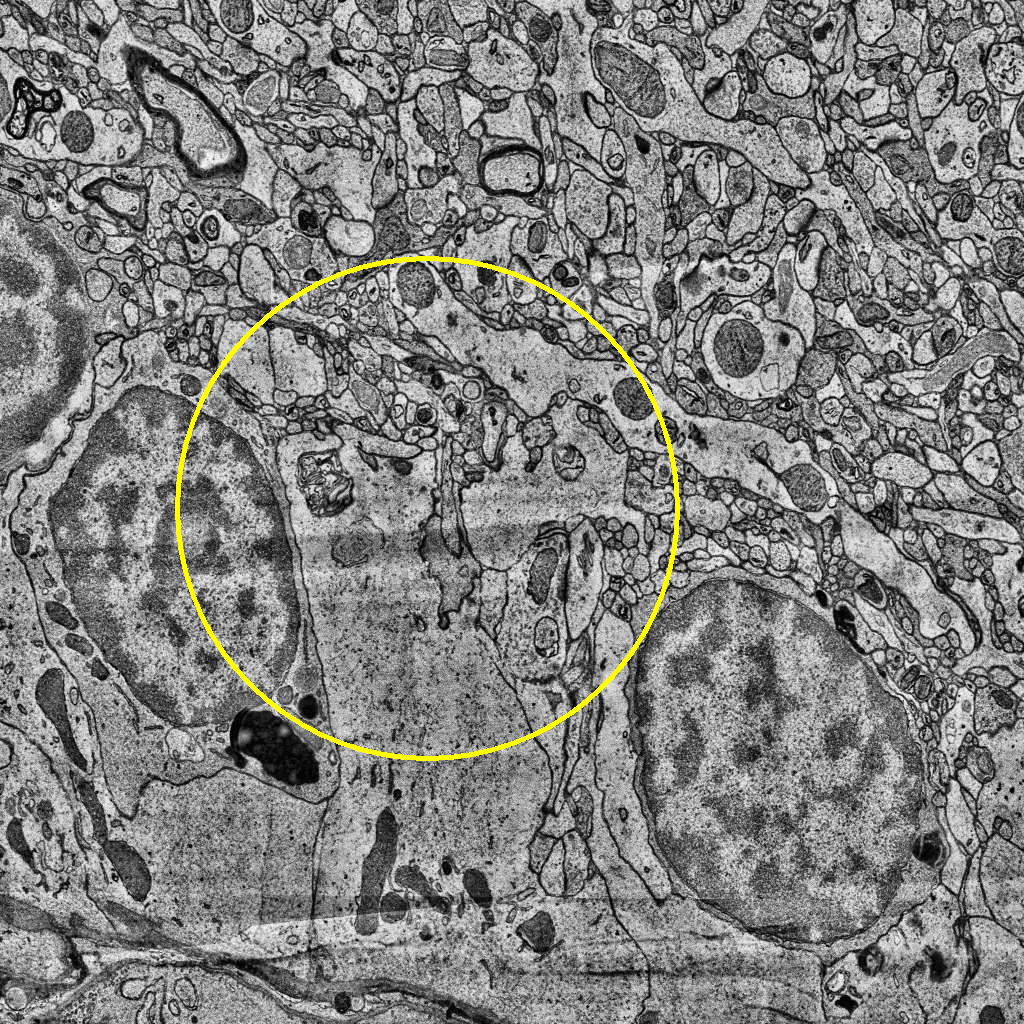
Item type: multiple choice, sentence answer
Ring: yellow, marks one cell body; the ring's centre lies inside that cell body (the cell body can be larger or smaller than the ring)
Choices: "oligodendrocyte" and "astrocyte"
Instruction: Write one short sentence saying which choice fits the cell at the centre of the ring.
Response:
The centre of this ring lies on an oligodendrocyte.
